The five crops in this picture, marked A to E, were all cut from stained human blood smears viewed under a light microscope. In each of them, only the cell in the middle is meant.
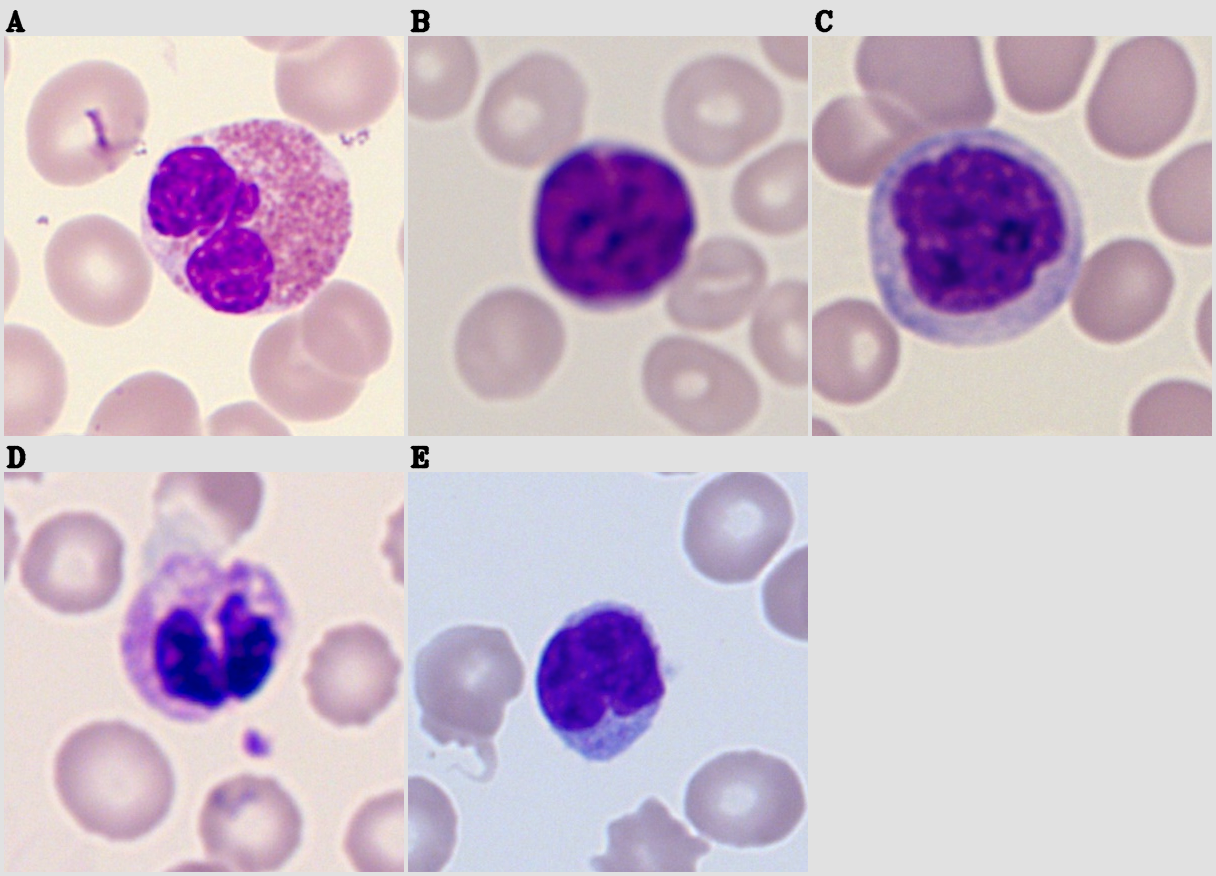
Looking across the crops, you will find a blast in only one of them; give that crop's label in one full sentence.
Of the crops given, a blast is found in crop B.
